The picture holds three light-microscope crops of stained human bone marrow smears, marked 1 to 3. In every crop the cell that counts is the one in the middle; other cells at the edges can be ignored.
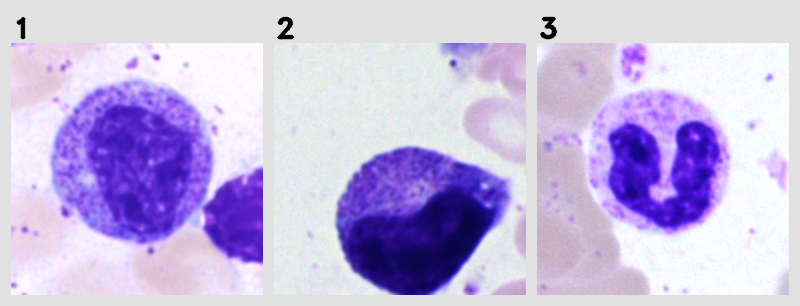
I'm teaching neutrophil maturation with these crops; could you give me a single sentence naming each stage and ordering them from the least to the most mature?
From least to most mature, the sequence is given by crop 1 (a myelocyte), crop 2 (a metamyelocyte) and crop 3 (a segmented neutrophil).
